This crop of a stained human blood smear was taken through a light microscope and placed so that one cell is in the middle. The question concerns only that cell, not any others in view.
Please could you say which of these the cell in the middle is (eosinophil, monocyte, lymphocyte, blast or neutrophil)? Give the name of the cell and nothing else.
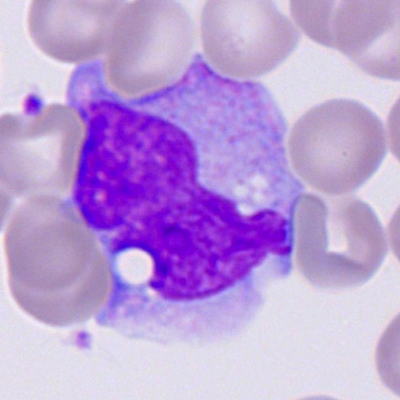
monocyte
